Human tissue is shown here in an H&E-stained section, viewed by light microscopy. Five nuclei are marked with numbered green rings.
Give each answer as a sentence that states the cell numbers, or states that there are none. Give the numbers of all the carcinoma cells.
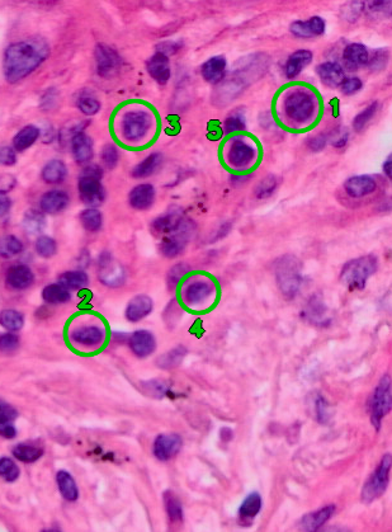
By cell type, the numbered cells include no carcinoma cells.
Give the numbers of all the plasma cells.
Cells 1, 2 and 4 are plasma cells by cell type.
